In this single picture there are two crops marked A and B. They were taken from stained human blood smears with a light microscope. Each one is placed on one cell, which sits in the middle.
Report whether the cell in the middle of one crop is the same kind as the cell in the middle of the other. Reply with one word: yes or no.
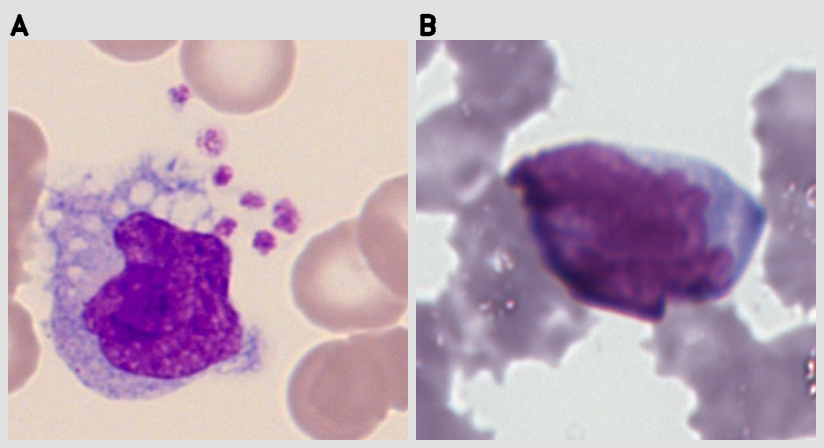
no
